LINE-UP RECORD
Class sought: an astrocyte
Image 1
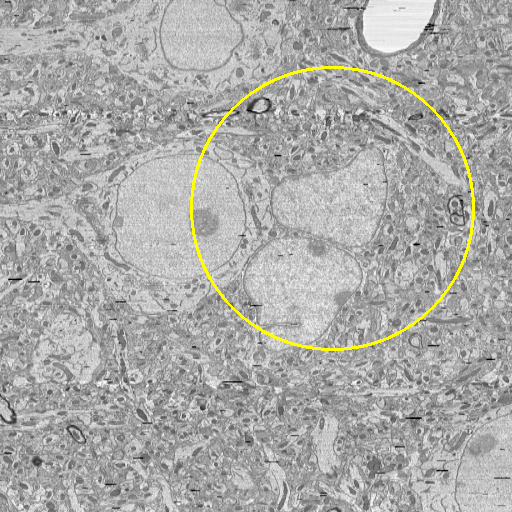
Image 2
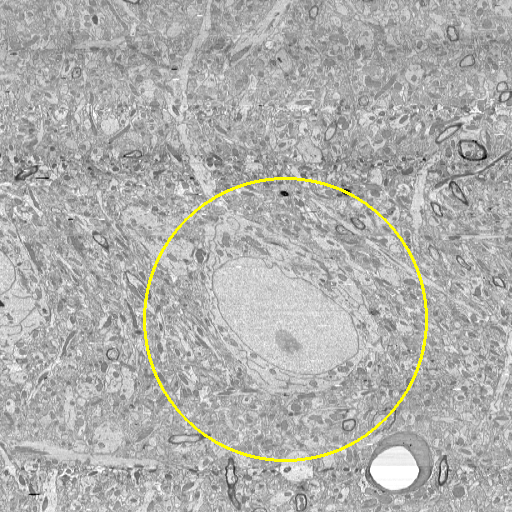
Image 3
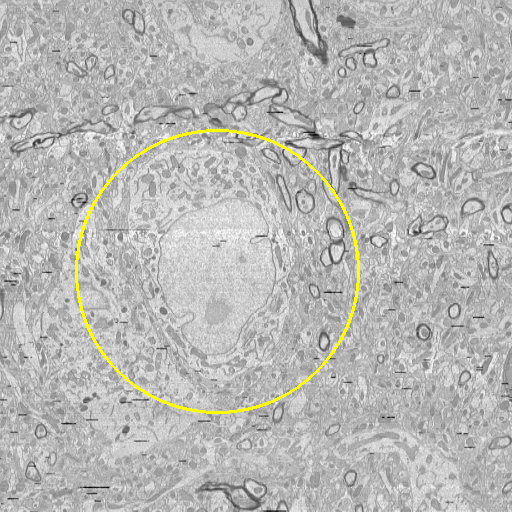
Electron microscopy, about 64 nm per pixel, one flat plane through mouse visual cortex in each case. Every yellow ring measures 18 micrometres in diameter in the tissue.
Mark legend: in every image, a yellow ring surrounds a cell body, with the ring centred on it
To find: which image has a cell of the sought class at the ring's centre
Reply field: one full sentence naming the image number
The ring-centred cell of image 1 belongs to the class sought.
